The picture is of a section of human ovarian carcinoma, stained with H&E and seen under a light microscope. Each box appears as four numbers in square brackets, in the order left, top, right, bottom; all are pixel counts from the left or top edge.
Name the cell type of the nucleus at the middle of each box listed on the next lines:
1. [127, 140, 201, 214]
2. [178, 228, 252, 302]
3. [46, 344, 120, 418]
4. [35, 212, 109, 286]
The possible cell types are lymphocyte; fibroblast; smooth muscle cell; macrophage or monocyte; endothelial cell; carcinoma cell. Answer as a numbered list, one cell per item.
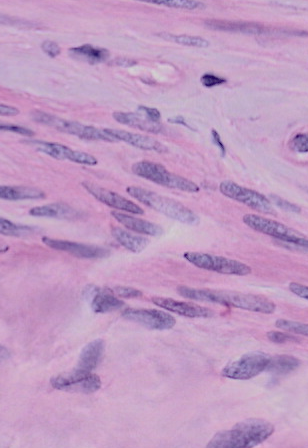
1. smooth muscle cell
2. smooth muscle cell
3. fibroblast
4. smooth muscle cell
